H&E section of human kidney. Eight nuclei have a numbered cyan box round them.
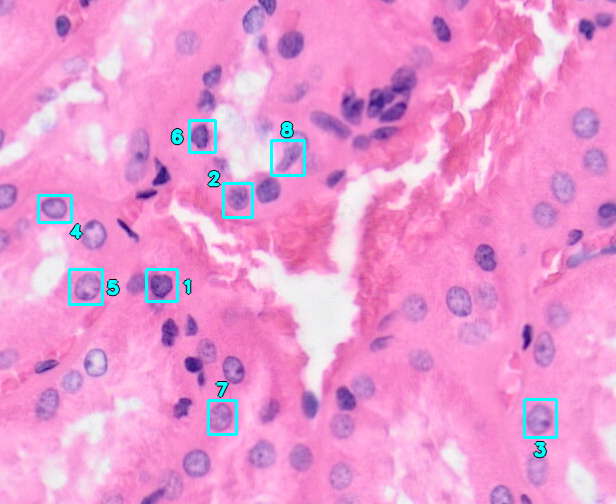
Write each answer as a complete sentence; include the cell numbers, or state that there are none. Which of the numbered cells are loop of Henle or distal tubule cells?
The cells that have been numbered 2 and 6 are loop of Henle or distal tubule cells.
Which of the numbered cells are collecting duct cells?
The numbered cells include exactly one that is a collecting duct cell, which is cell 8.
